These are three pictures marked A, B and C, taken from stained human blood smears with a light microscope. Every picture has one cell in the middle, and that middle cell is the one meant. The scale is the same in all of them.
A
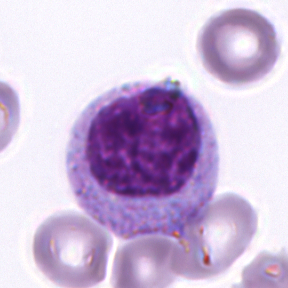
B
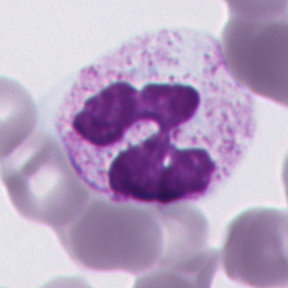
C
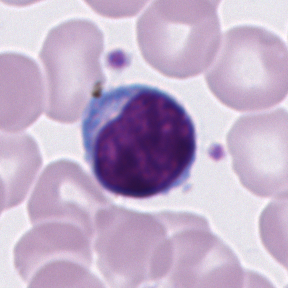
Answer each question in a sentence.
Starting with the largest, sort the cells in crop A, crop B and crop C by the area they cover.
Largest first: B, A, C.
